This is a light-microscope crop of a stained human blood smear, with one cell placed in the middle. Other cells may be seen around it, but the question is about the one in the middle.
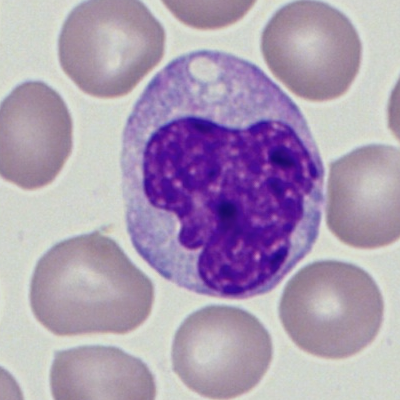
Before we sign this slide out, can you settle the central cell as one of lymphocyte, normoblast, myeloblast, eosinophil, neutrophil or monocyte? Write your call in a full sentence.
The center cell of this crop is a monocyte.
